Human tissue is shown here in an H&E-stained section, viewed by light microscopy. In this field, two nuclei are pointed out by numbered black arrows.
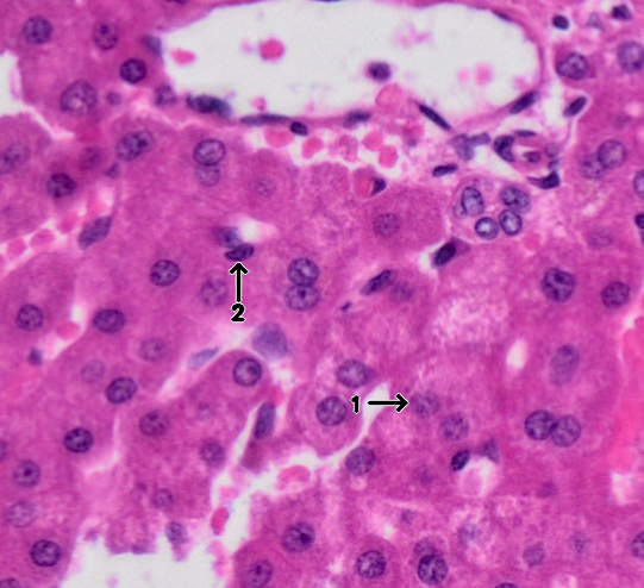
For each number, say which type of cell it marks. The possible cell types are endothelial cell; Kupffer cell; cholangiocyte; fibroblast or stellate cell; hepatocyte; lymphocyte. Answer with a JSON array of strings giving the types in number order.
["hepatocyte", "fibroblast or stellate cell"]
